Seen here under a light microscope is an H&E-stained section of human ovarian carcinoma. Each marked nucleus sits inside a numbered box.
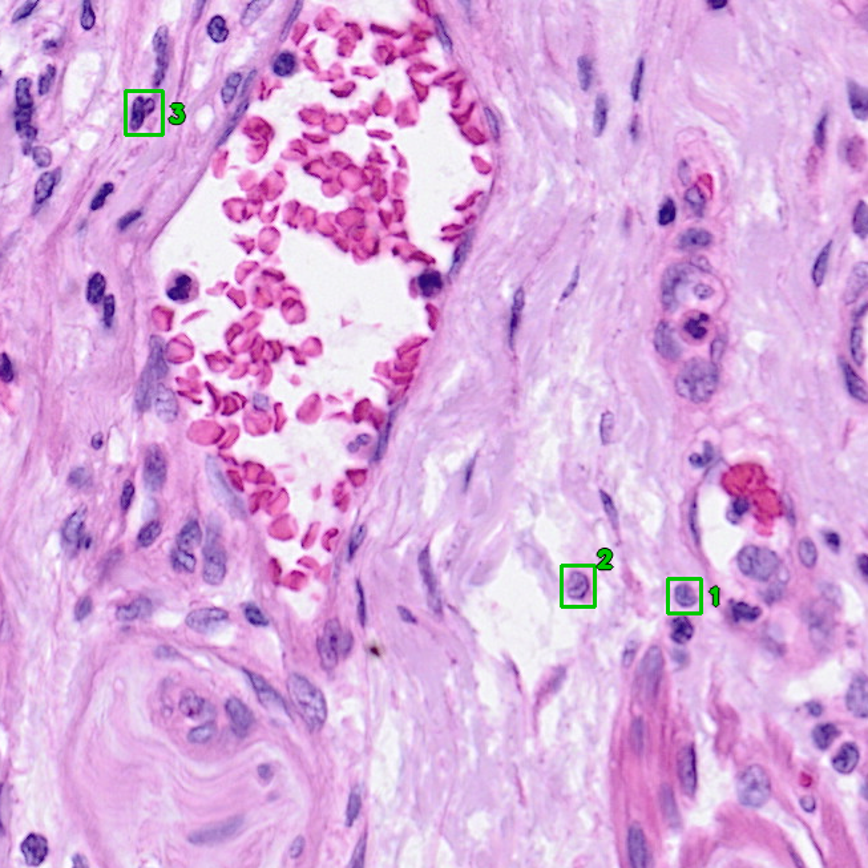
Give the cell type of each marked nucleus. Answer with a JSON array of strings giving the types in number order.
["lymphocyte", "macrophage or monocyte", "lymphocyte"]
